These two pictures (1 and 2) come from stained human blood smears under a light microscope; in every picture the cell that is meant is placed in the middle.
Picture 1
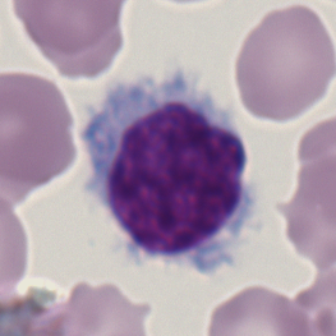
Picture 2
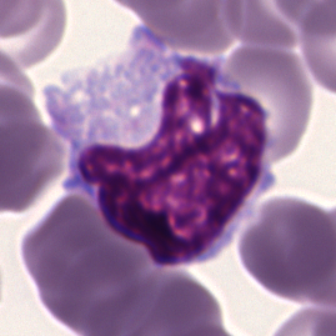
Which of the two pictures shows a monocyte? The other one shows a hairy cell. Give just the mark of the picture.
2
